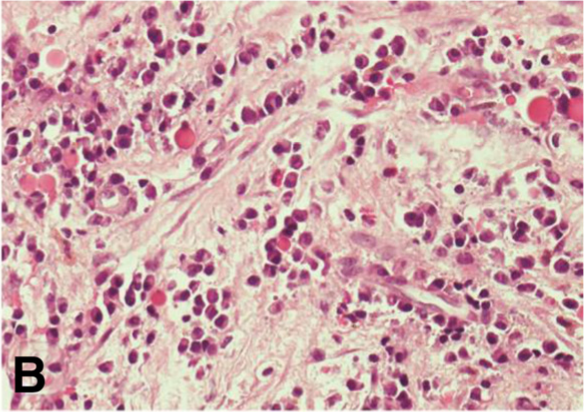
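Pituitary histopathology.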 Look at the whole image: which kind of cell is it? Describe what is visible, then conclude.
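Many scattered cells have round, eccentric dark nuclei and a rim of cytoplasm. They lie in a loose pale pink stroma. Round bright pink globules lie among the cells.
Answer: plasma cells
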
